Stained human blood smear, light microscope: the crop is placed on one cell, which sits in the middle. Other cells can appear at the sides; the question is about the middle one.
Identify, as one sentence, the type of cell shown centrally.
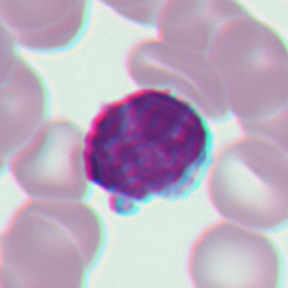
At the center of the crop sits a typical lymphocyte.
